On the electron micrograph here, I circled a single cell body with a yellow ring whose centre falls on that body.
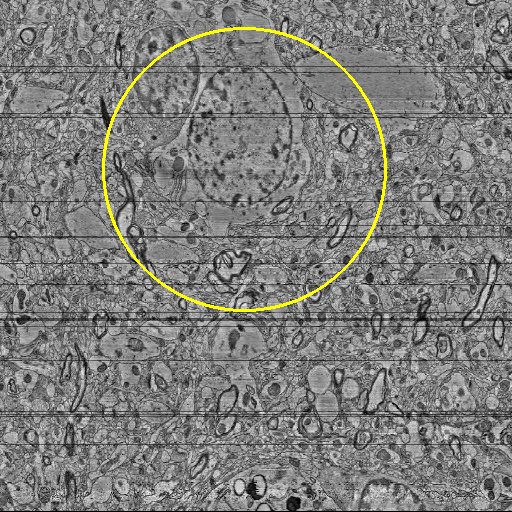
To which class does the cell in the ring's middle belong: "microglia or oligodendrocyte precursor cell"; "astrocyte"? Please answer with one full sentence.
In this picture, the cell body circled at the ring's centre belongs to an astrocyte.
